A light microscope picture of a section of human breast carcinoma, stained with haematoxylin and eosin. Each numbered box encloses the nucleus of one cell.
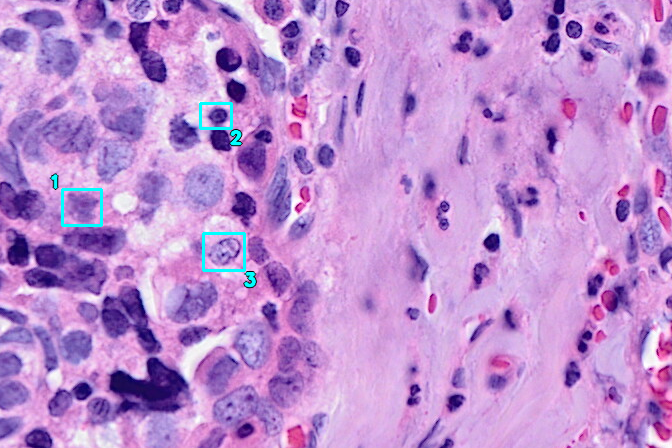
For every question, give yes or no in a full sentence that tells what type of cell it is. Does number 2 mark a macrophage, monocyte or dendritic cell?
No, rather than a macrophage, monocyte or dendritic cell, cell number 2 is a lymphocyte.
